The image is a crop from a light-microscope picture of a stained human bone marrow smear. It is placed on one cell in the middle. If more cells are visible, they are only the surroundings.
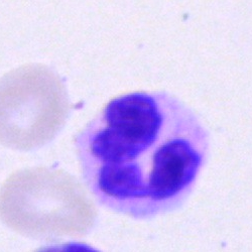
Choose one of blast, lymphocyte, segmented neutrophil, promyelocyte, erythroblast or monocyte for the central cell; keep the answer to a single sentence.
The cell of interest, located centrally, is a segmented neutrophil.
